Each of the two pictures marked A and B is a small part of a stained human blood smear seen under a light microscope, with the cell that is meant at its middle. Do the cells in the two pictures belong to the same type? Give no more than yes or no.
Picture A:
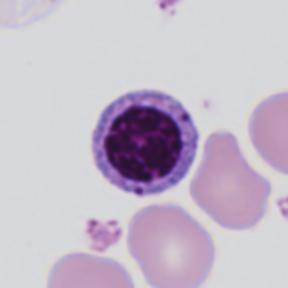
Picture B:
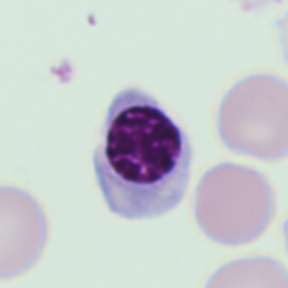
yes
